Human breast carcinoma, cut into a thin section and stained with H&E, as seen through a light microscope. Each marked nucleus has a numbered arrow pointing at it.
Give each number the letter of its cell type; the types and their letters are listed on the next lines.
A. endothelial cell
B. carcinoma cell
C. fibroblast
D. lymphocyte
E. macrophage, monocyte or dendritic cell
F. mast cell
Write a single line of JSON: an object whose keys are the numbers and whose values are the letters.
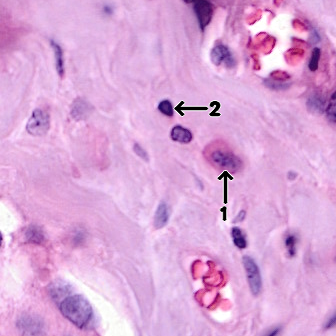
{"1": "F", "2": "D"}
